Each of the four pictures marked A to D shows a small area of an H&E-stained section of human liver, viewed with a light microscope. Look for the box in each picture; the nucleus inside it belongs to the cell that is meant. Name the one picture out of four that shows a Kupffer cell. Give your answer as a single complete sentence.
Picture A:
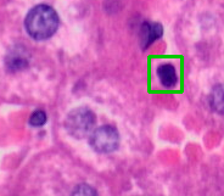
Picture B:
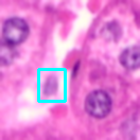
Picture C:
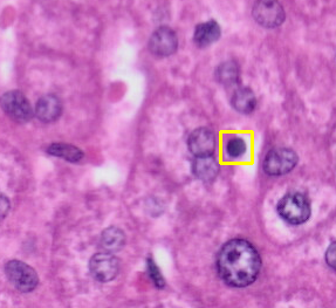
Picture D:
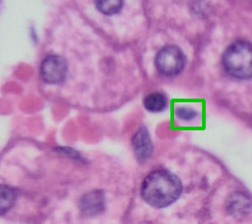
It is picture B that shows the Kupffer cell.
